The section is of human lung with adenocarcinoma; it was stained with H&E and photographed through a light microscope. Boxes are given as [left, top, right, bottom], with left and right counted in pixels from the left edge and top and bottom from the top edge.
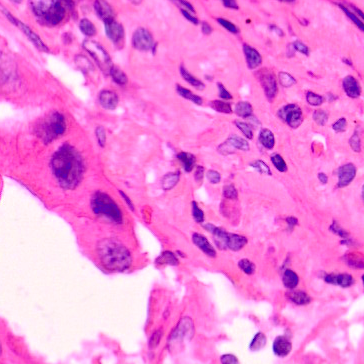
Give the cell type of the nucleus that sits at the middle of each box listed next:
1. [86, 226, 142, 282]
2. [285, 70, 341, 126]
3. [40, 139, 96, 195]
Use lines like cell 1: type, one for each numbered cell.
cell 1: carcinoma cell
cell 2: plasma cell
cell 3: carcinoma cell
